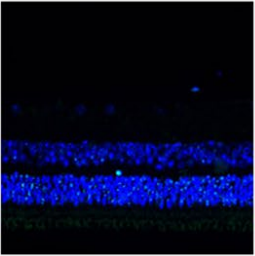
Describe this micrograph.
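Cross-section of retinal tissue showing two stacked bands of densely packed round blue nuclei, the lower band the thicker. A few isolated nuclei lie scattered above the upper band.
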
